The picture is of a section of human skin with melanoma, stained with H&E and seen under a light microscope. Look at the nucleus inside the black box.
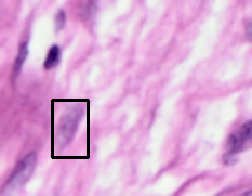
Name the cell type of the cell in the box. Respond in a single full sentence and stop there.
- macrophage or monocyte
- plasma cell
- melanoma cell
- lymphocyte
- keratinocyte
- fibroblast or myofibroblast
For the purposes of cell typing, the cell in the box is categorized as a fibroblast or myofibroblast.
